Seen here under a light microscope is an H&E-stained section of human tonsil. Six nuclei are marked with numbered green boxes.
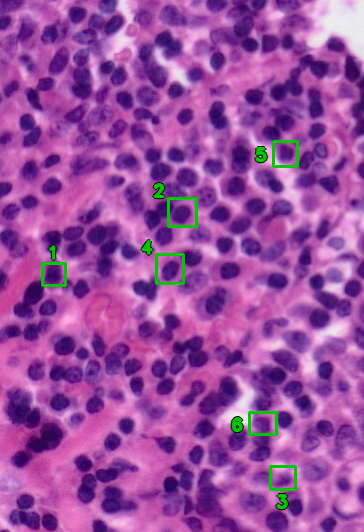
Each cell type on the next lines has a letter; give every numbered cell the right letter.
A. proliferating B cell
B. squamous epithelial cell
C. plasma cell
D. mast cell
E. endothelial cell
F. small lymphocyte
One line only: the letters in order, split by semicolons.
C; C; B; C; C; B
